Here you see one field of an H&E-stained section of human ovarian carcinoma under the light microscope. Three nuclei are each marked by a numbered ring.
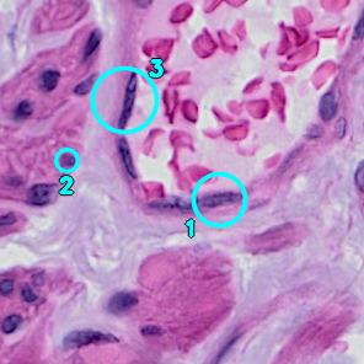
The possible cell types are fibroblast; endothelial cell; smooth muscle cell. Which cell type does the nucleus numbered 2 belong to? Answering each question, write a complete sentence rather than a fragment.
The cell carrying label 2 is identified as a smooth muscle cell.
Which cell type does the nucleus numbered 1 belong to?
The correct answer for cell 1 is an endothelial cell.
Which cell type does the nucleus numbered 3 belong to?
Cell 3 in the field is an endothelial cell.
